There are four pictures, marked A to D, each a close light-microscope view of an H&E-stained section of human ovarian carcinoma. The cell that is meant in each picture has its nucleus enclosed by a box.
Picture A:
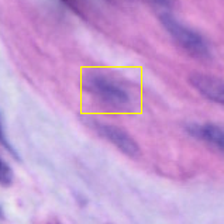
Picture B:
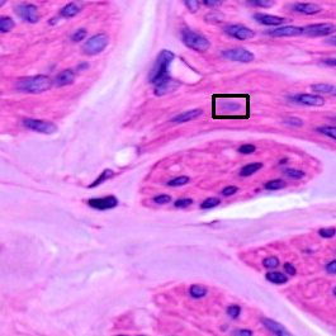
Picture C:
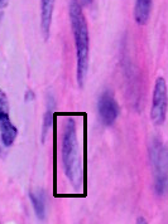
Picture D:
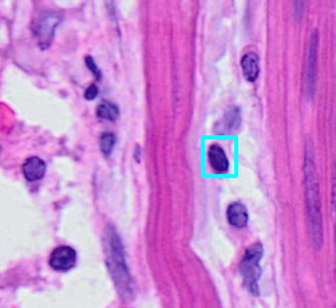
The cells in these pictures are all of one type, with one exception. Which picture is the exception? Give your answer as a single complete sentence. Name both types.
Picture D differs, because its cell is a lymphocyte and the rest are smooth muscle cells.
